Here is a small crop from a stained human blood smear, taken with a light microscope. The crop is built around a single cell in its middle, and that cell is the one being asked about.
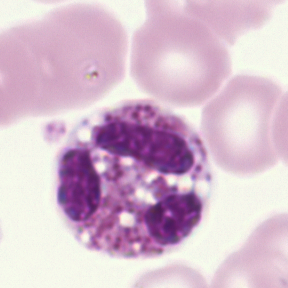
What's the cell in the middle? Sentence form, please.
The identification for the central cell is an eosinophil.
